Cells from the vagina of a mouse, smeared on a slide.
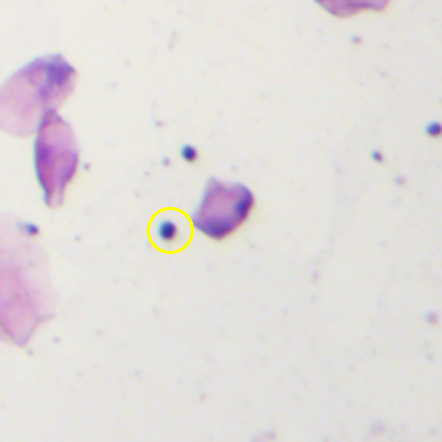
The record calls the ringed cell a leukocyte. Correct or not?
Correct; it is a leukocyte.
